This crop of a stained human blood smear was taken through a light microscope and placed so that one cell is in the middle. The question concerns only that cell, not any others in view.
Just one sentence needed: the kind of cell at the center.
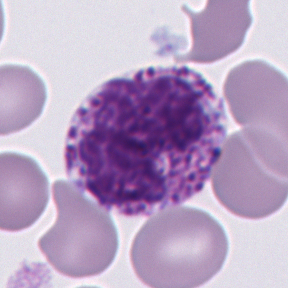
Standing at the centre of this crop is a basophil.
